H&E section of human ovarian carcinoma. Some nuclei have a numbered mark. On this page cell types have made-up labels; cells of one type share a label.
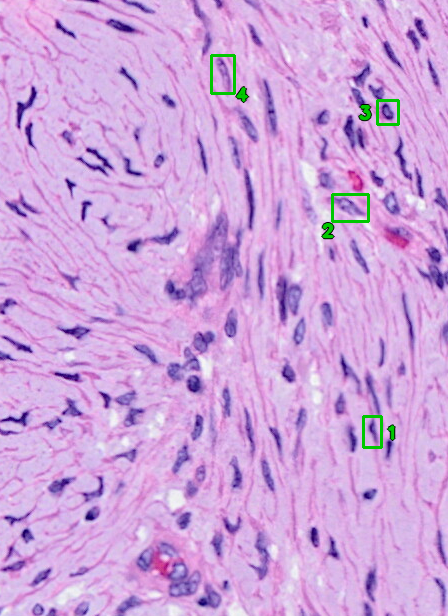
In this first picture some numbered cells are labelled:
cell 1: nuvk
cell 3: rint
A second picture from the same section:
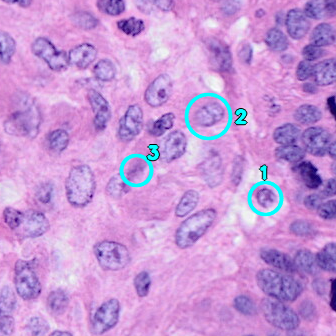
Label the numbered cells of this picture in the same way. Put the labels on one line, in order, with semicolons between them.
rint; nuvk; nuvk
